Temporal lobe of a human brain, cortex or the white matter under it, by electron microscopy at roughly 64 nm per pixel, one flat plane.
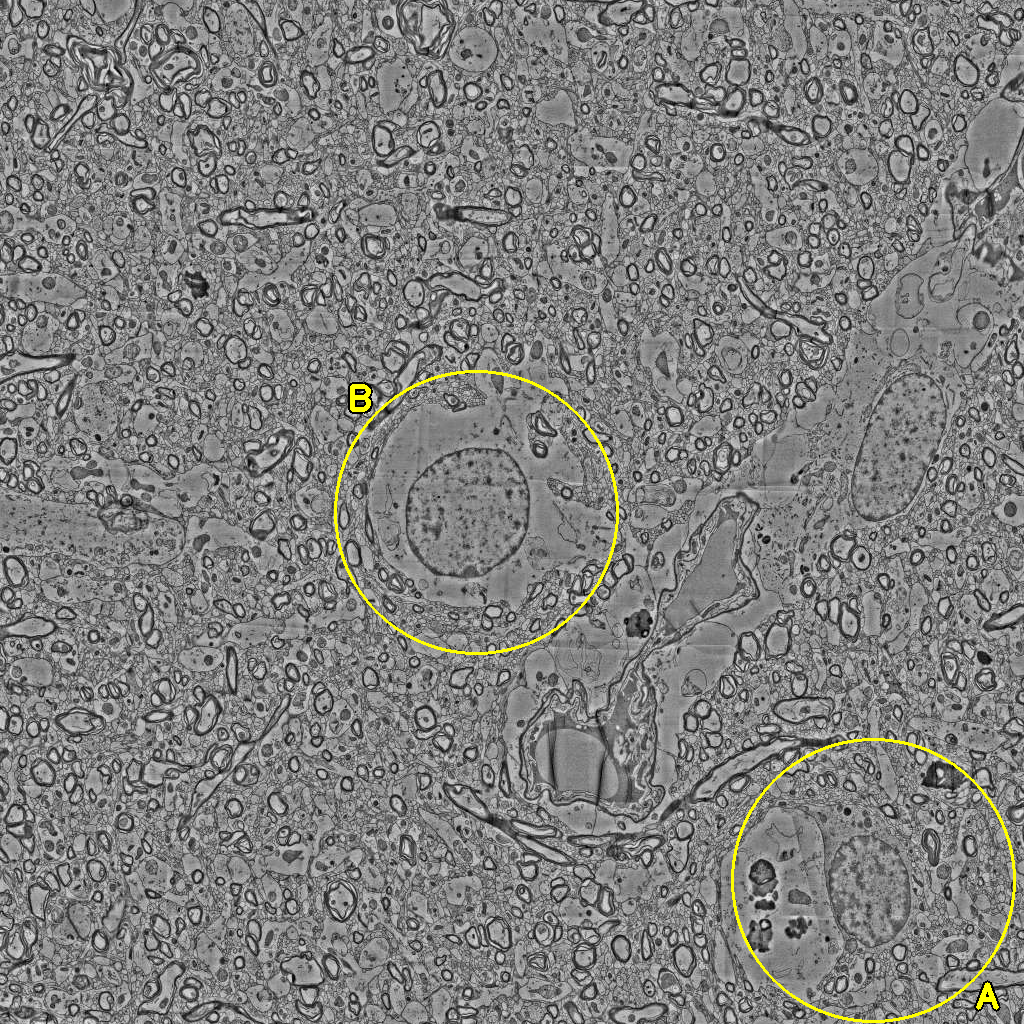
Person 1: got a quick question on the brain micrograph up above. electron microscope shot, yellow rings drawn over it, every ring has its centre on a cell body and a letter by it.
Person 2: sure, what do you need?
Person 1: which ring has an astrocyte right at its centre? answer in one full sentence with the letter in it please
In that picture, ring B is centred on the cell asked for.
